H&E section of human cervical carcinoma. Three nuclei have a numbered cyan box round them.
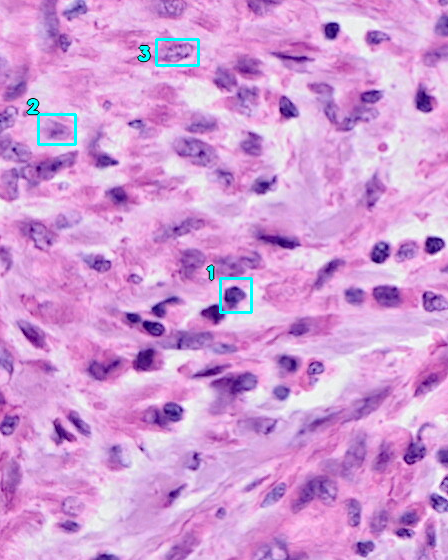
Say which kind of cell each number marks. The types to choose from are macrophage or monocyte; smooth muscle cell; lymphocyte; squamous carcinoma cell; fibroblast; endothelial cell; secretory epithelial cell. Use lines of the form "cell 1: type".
cell 1: lymphocyte
cell 2: fibroblast
cell 3: fibroblast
